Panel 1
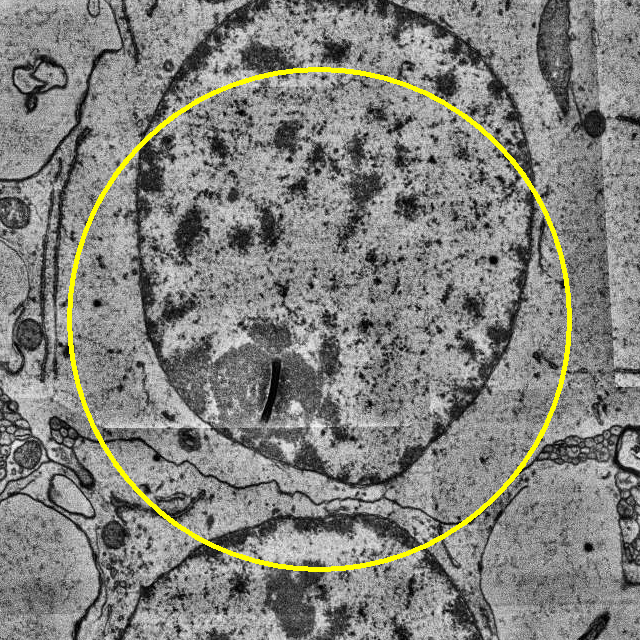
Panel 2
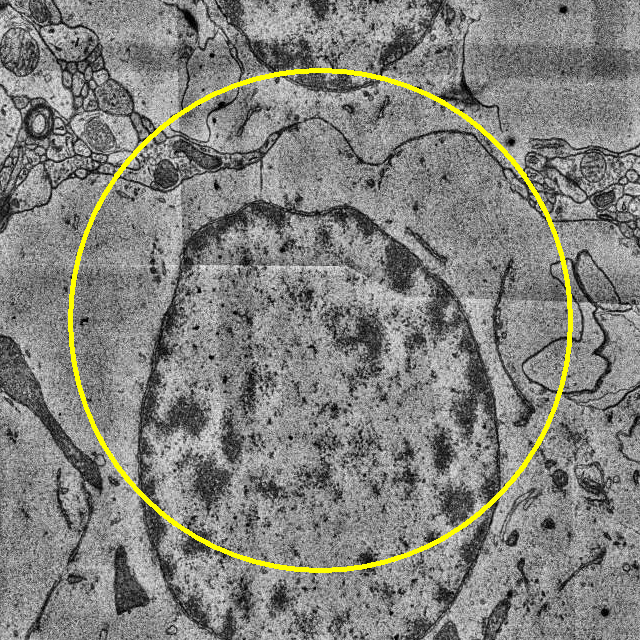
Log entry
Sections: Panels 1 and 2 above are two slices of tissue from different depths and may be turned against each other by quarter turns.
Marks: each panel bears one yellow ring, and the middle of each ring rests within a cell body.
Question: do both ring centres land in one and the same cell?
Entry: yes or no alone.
yes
